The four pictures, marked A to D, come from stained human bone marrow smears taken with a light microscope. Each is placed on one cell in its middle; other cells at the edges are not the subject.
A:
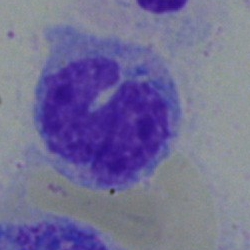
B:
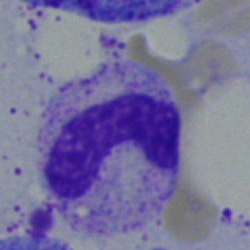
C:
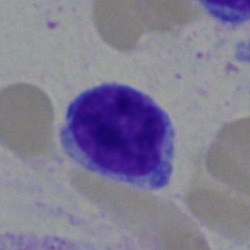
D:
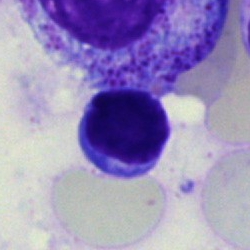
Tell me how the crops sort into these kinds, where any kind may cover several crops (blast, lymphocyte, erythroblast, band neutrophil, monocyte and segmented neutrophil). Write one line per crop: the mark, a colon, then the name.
A: monocyte
B: band neutrophil
C: lymphocyte
D: lymphocyte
